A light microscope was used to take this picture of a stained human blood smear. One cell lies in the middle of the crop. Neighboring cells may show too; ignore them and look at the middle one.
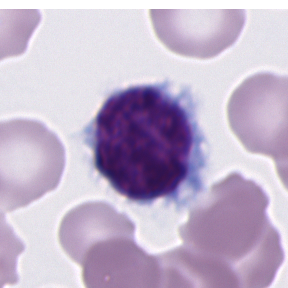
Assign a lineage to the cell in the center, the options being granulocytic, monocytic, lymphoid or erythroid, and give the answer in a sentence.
By lineage, the cell in the middle of the crop is lymphoid.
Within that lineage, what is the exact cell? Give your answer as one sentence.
Regarding the central cell, it is a hairy cell.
